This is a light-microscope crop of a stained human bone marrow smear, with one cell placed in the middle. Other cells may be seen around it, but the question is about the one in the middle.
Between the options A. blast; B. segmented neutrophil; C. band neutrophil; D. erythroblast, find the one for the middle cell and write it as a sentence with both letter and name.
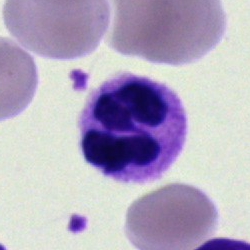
In this crop the central cell is a segmented neutrophil, which option B correctly states.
